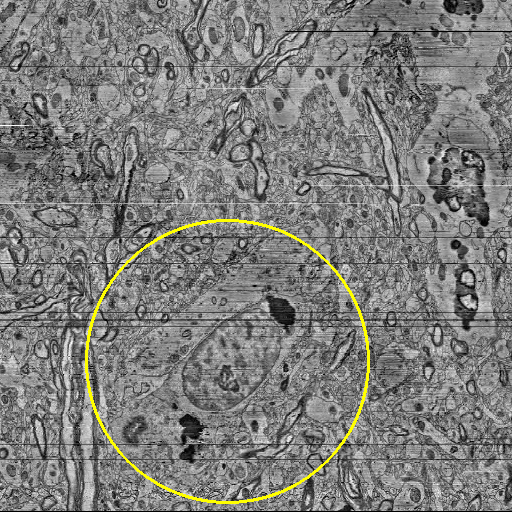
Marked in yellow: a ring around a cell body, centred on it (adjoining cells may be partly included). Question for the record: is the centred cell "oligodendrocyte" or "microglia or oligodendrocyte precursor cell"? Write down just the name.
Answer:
oligodendrocyte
